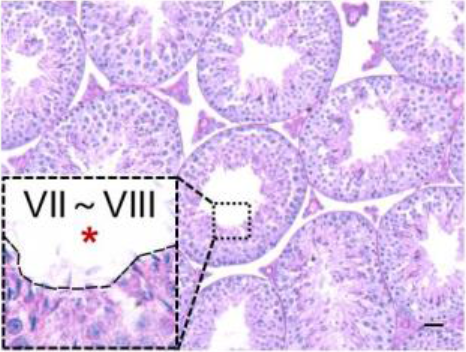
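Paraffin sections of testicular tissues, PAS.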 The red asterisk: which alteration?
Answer: Defects of sperm tails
